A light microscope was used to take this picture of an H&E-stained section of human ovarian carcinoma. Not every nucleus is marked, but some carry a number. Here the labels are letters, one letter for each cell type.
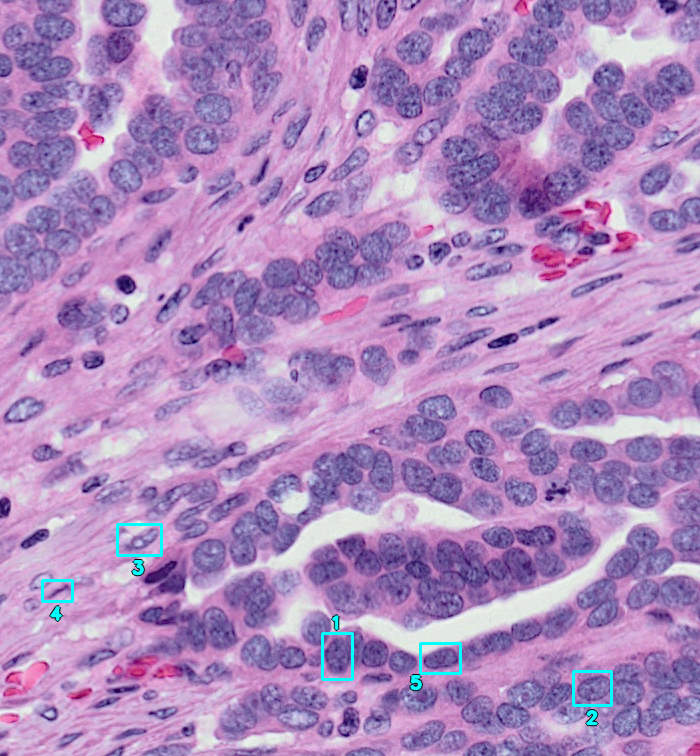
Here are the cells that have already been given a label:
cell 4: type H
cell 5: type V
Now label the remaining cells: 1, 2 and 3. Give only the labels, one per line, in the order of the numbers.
type V
type V
type H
